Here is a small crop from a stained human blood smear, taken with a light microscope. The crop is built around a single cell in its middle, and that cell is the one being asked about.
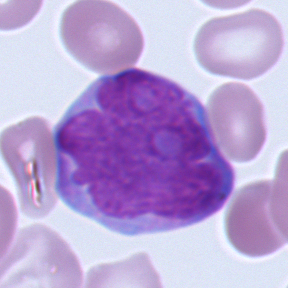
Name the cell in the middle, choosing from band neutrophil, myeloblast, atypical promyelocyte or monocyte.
atypical promyelocyte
